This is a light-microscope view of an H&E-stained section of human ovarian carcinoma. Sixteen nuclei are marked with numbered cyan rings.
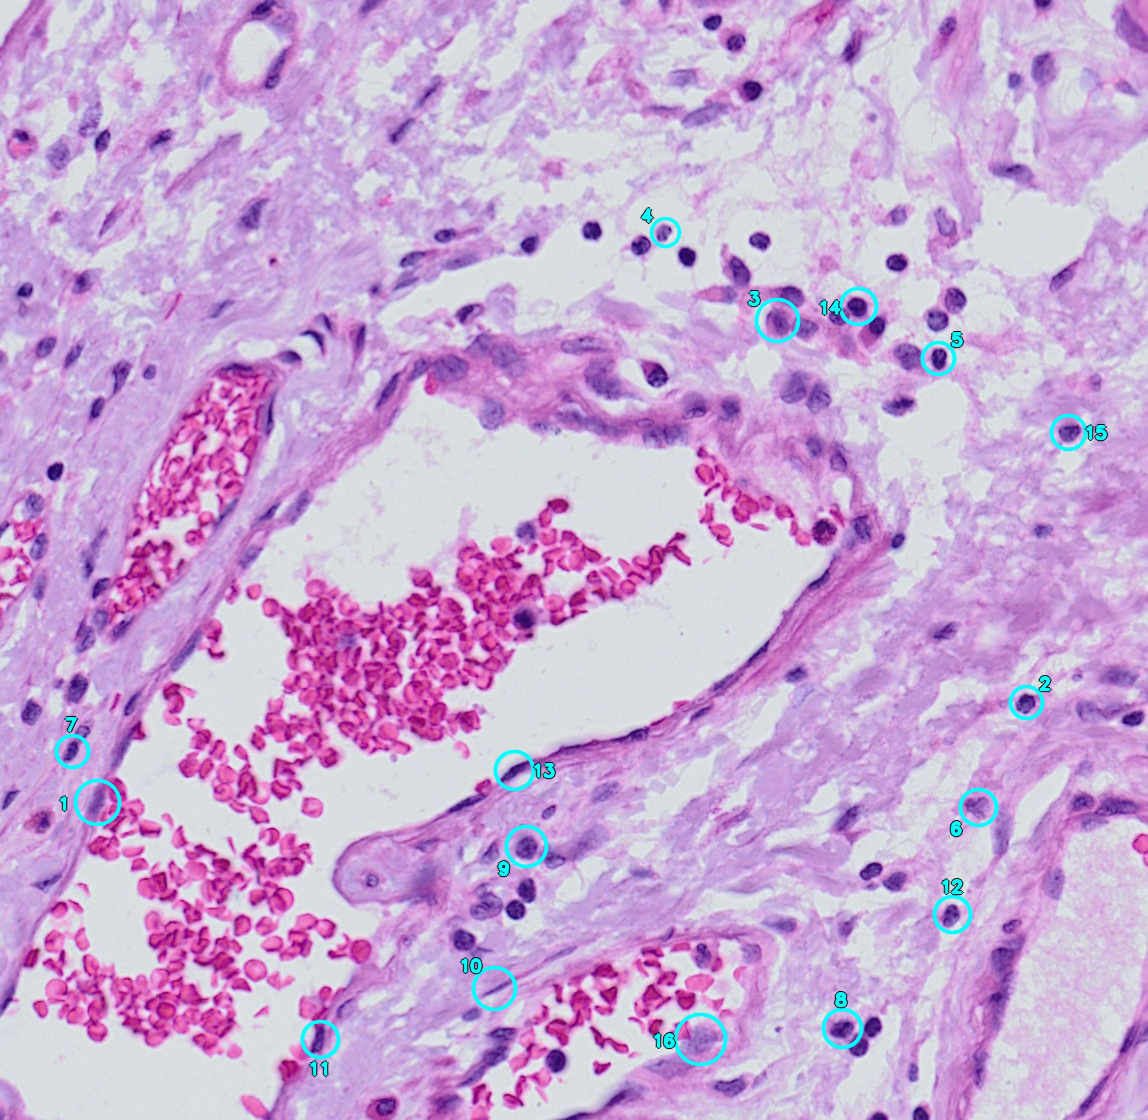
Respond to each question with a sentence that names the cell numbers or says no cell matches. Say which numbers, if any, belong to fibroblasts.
Of the marked cells, the one numbered 10 is a fibroblast and the rest are not.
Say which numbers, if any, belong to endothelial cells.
The cells that have been numbered 1, 11, 13 and 16 are endothelial cells.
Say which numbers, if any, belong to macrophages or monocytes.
The cells that bear the numbers 3 and 6 are macrophages or monocytes.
